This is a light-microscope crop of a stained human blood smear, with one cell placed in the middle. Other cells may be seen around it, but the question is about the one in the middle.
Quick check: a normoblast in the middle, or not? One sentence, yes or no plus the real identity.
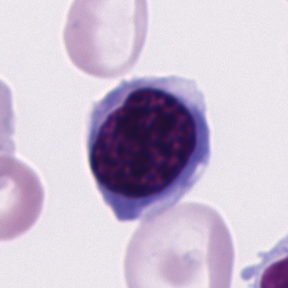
Yes, the cell at the center of the crop is a normoblast.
